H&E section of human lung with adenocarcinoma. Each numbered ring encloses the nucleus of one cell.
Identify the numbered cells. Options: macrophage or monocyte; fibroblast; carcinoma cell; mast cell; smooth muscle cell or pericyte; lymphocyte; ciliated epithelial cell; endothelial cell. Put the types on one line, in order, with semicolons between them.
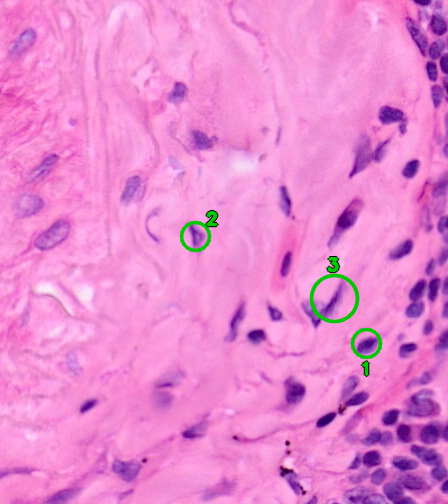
lymphocyte; fibroblast; fibroblast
